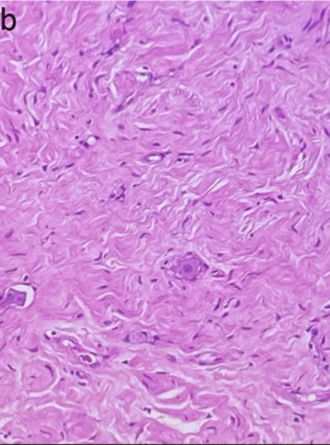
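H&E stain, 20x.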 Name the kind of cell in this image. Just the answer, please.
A: Ganglion cells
